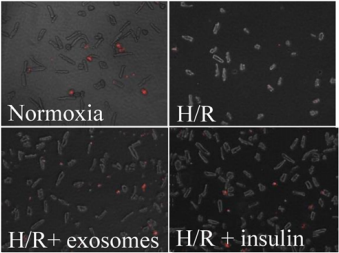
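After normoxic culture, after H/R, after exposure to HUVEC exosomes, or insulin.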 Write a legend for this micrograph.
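The cells lie separately, scattered across the dish without forming a continuous layer. Many of the cells are elongated, rod- or brick-shaped, while others are shorter or more rounded.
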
